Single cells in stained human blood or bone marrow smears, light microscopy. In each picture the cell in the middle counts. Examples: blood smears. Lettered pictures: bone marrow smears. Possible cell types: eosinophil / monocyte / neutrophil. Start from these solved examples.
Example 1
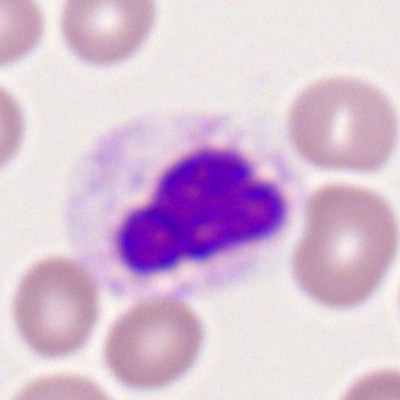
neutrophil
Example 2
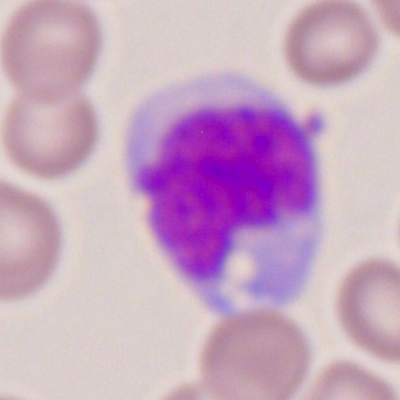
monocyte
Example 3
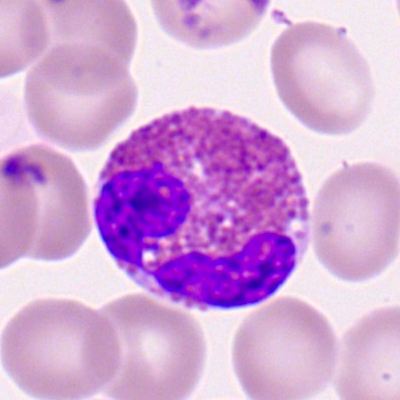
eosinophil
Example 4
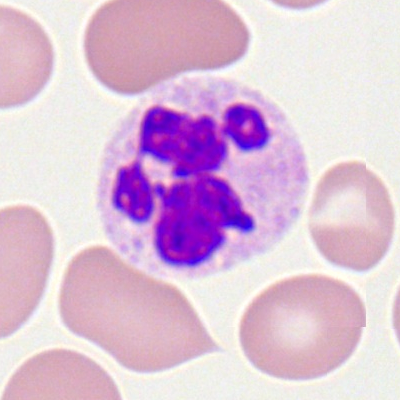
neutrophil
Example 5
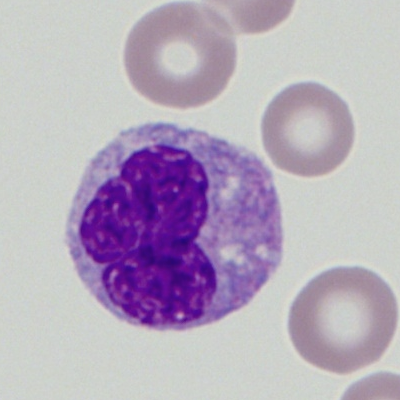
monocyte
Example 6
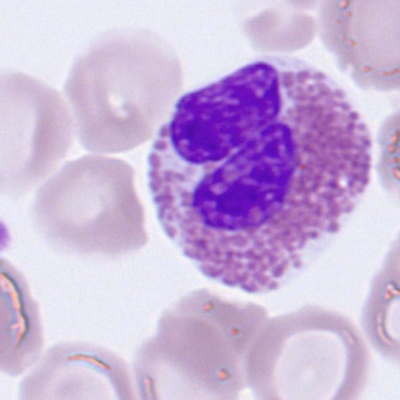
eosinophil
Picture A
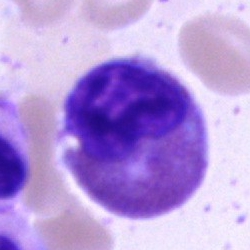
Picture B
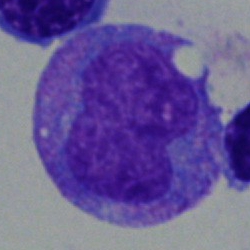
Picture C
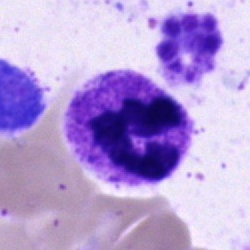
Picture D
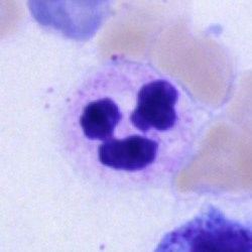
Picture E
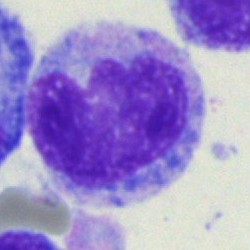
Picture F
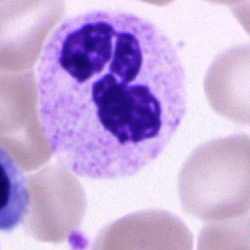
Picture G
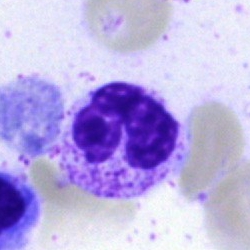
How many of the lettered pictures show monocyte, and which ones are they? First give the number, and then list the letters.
Count: 2 (B, E)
